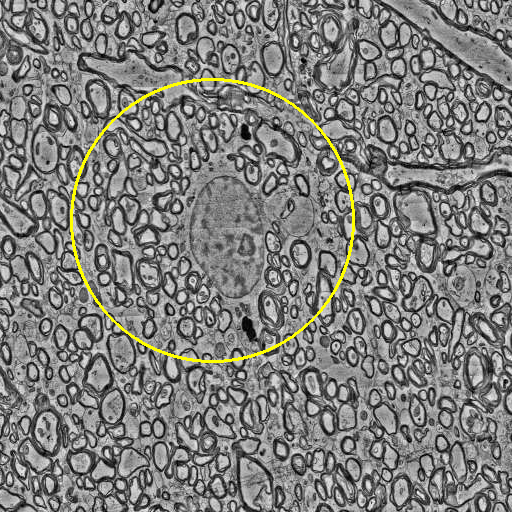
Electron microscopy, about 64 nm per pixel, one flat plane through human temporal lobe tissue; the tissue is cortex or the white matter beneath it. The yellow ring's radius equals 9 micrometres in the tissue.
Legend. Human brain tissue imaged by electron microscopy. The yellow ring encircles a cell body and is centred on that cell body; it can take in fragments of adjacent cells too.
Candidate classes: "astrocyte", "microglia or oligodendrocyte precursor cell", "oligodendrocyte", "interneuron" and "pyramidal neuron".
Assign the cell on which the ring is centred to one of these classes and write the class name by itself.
oligodendrocyte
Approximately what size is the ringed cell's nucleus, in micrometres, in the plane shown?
About 8 by 5 micrometers; the nucleus is clearly longer than it is wide in this plane.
